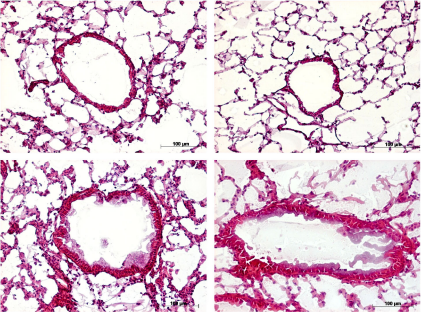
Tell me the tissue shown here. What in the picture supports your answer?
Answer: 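Lung. Around the airway lies a lace-like network of thin-walled, air-filled spaces.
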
